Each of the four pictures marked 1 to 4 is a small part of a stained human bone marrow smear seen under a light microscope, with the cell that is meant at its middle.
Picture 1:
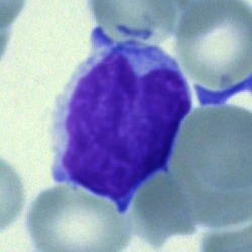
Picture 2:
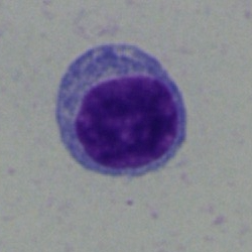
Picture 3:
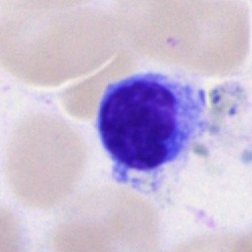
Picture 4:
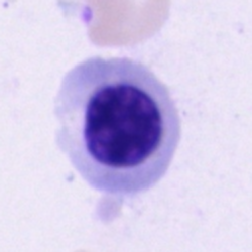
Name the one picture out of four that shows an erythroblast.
4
